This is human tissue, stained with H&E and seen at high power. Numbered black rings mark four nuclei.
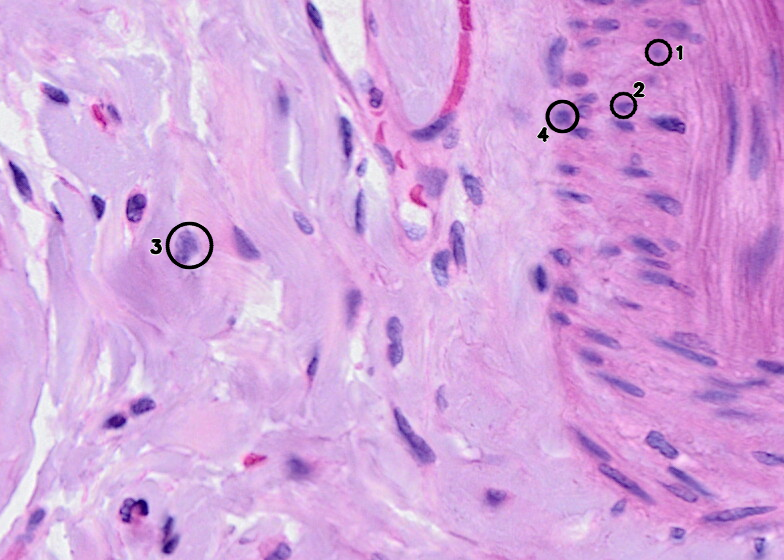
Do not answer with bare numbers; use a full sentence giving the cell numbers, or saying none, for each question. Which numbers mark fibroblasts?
Cell 3 is a fibroblast, and that holds for no other numbered cell.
